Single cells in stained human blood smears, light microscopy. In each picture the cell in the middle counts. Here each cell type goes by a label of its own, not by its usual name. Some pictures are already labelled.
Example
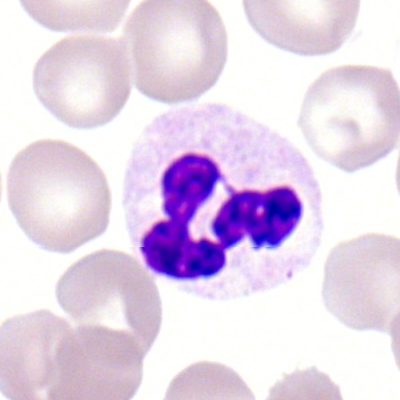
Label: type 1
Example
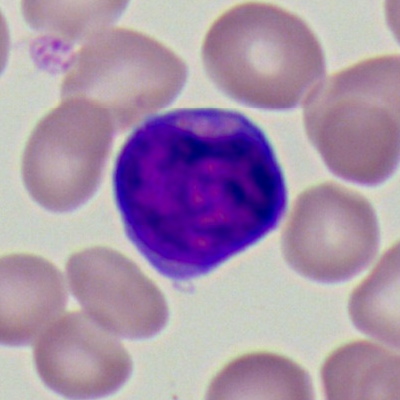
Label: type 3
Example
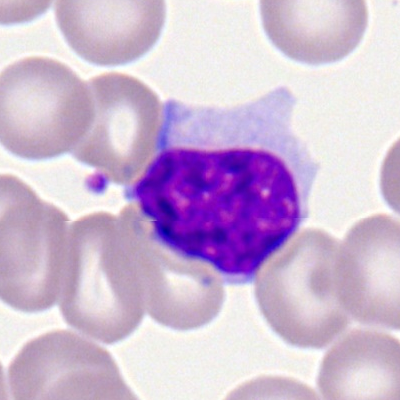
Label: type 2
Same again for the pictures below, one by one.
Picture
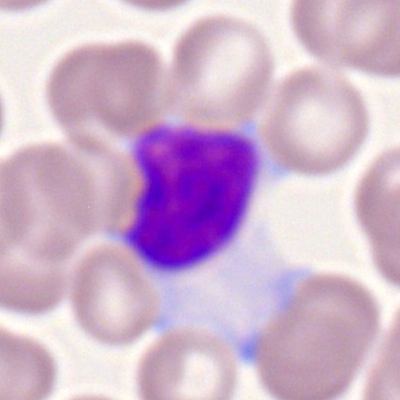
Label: type 2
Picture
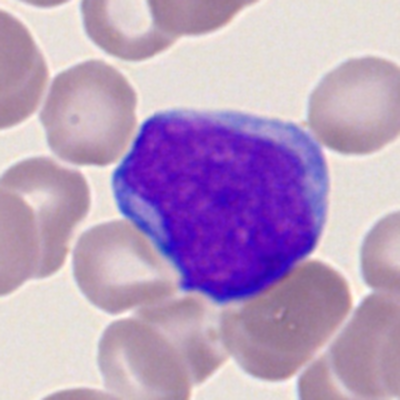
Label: type 3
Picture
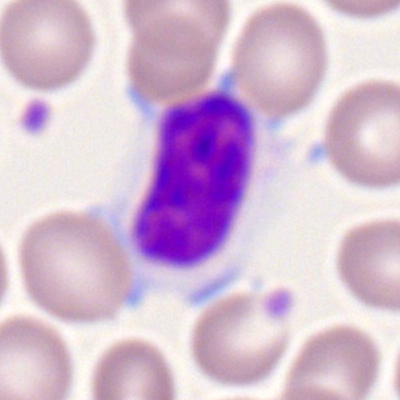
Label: type 2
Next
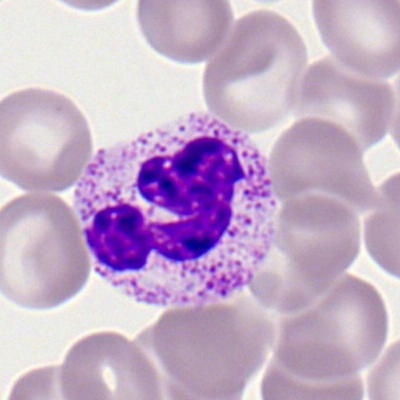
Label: type 1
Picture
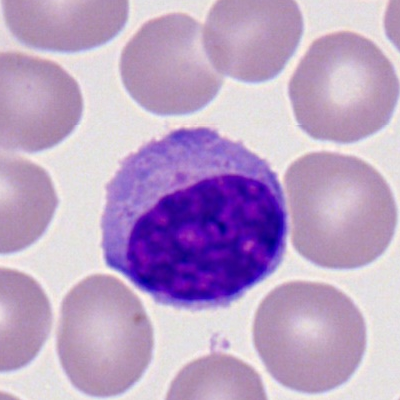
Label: type 2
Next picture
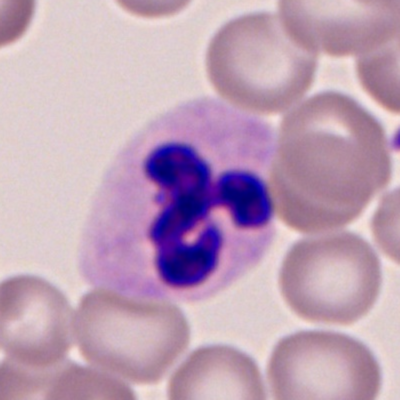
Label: type 1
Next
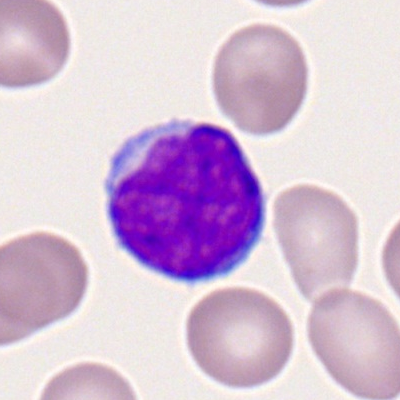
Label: type 2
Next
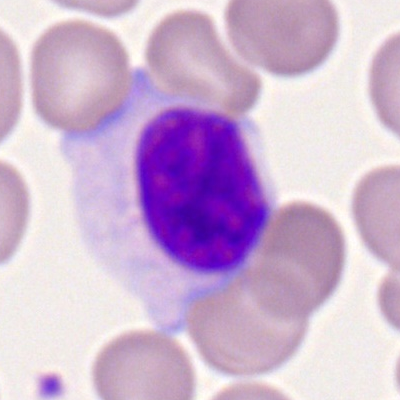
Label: type 2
